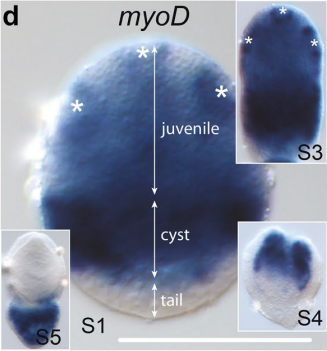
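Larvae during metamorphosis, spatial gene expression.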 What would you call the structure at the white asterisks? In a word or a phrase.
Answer: Nascent suckers and rostellar bulb.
